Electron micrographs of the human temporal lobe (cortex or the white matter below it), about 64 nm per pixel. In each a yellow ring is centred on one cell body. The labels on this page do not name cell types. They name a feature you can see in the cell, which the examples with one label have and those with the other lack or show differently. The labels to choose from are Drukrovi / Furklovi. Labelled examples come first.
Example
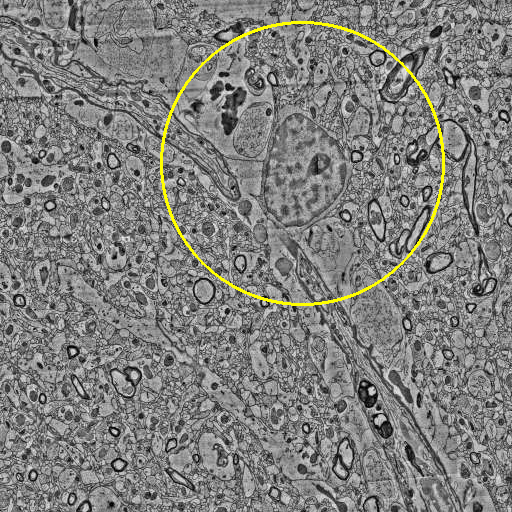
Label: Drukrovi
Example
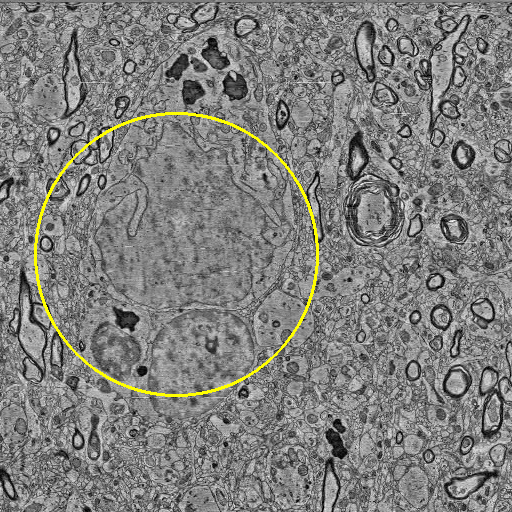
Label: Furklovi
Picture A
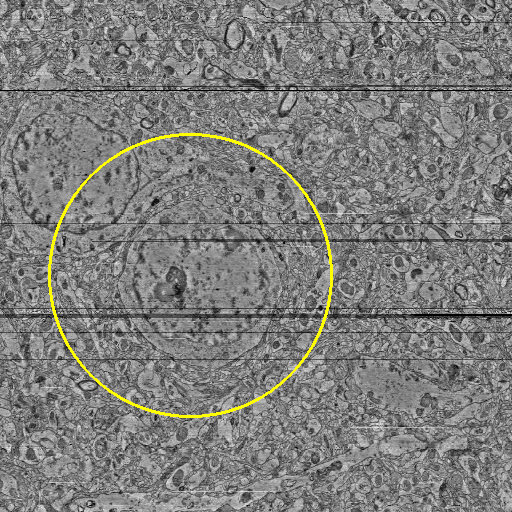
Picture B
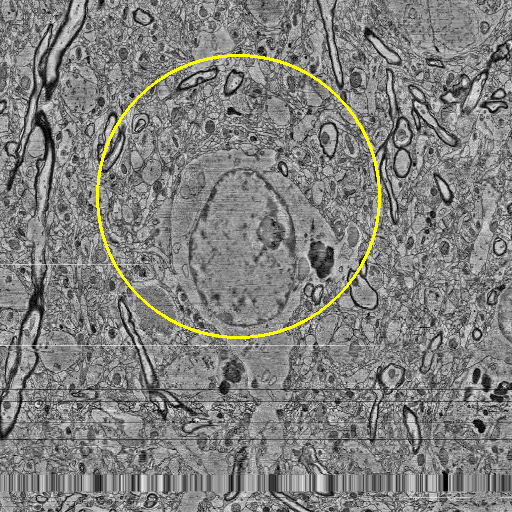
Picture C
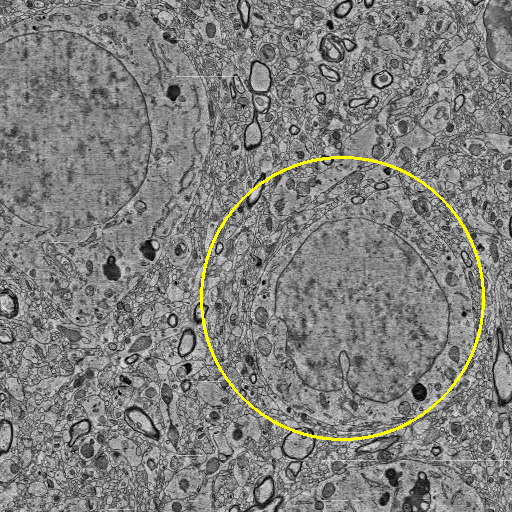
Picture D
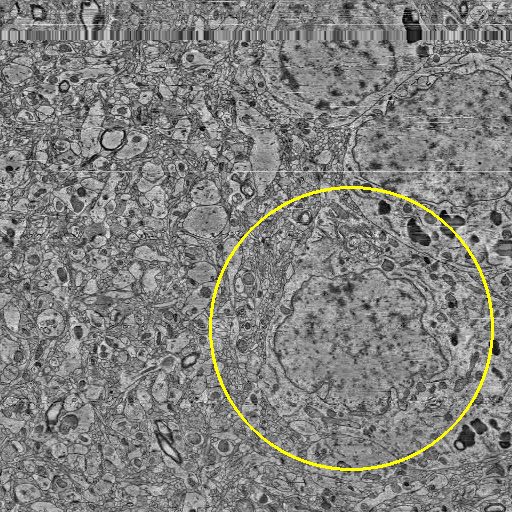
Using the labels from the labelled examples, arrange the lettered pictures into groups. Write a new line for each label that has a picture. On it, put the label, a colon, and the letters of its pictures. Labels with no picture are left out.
Drukrovi: A, B
Furklovi: C, D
